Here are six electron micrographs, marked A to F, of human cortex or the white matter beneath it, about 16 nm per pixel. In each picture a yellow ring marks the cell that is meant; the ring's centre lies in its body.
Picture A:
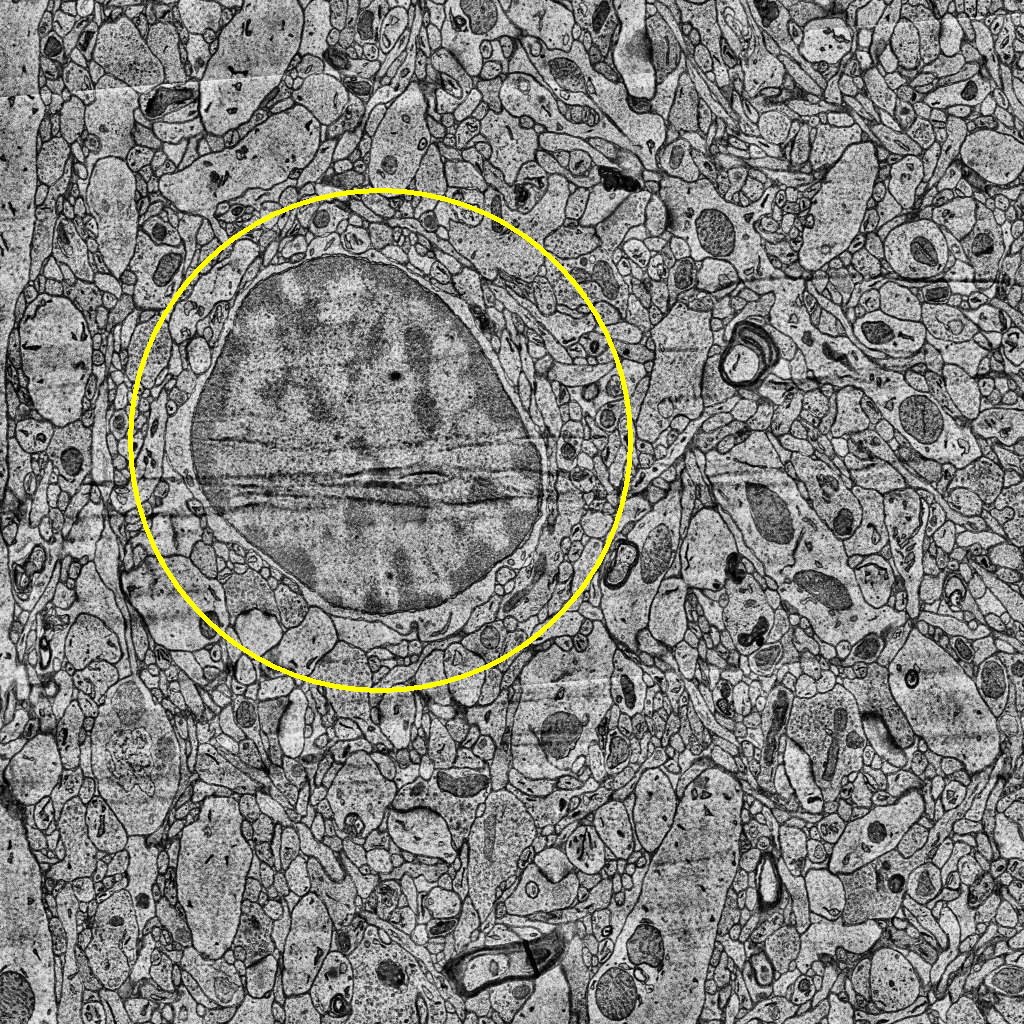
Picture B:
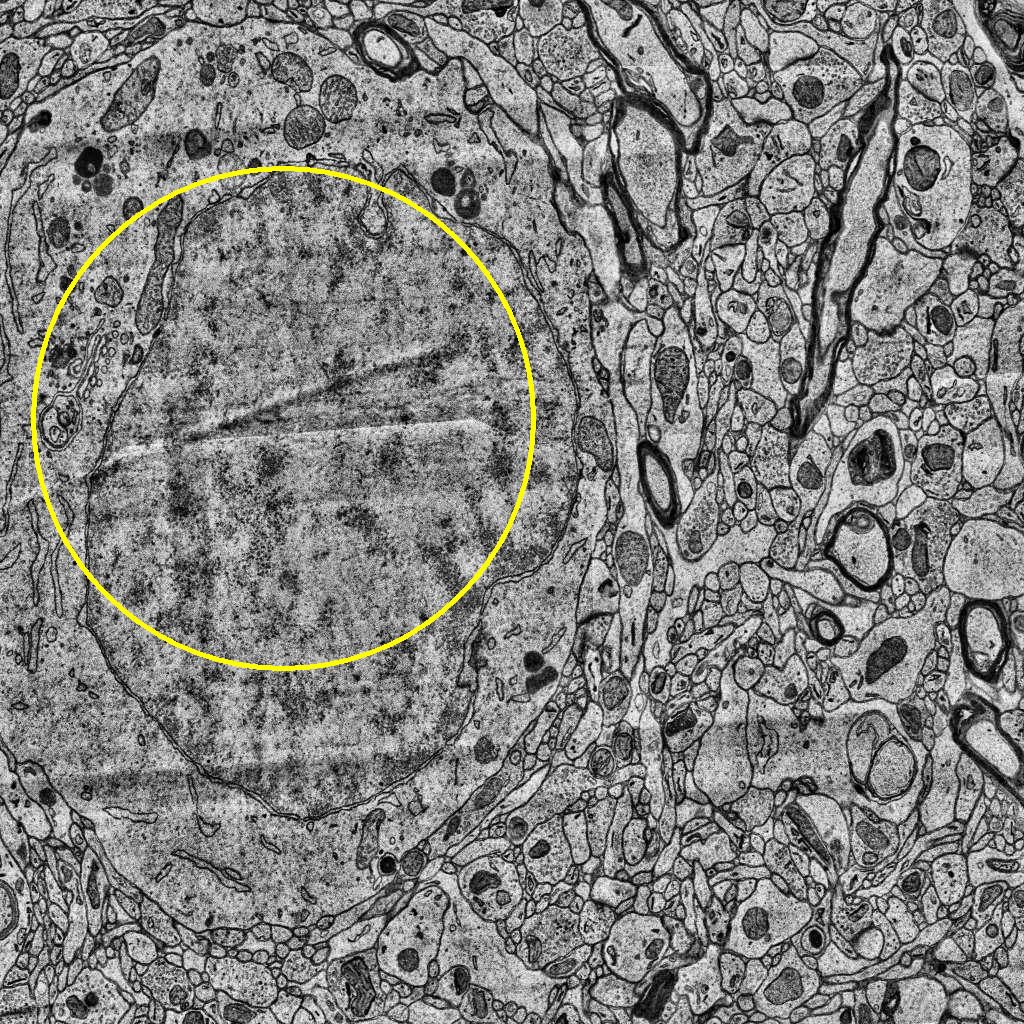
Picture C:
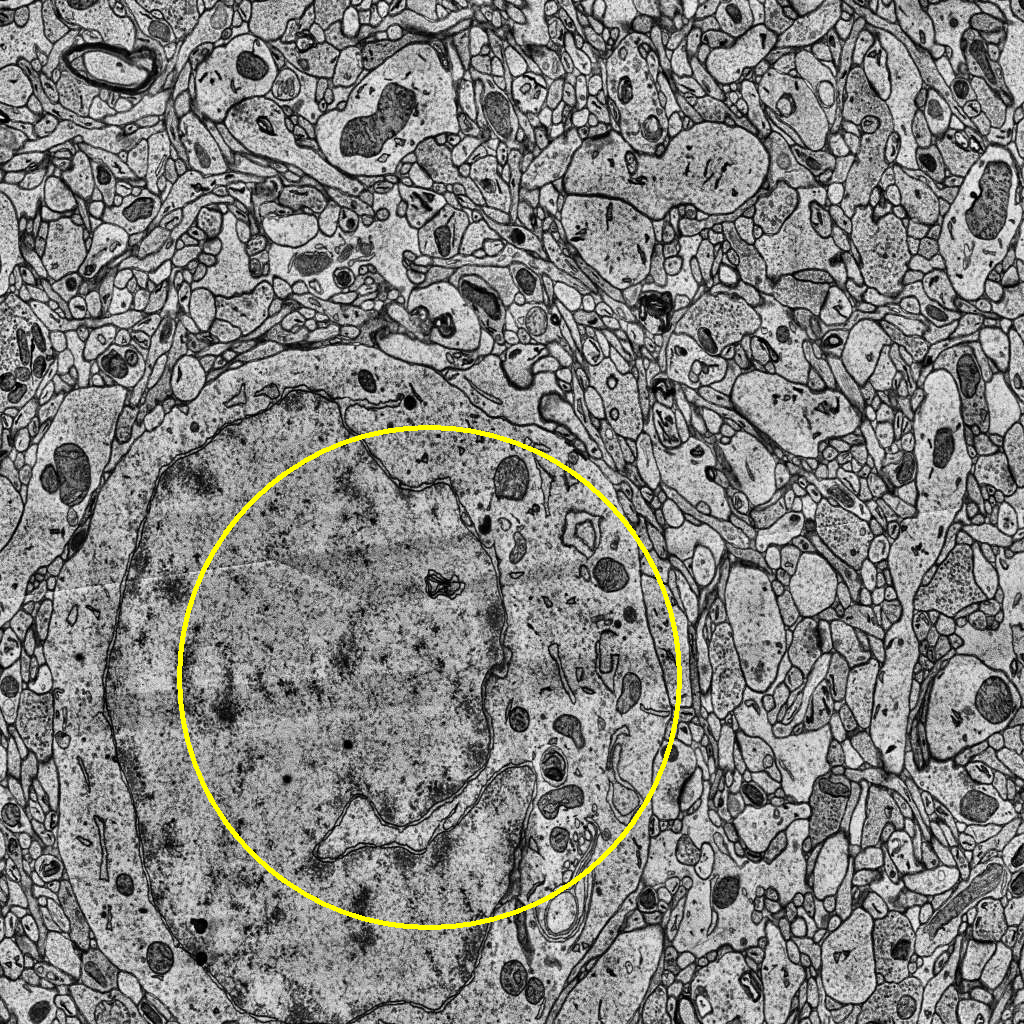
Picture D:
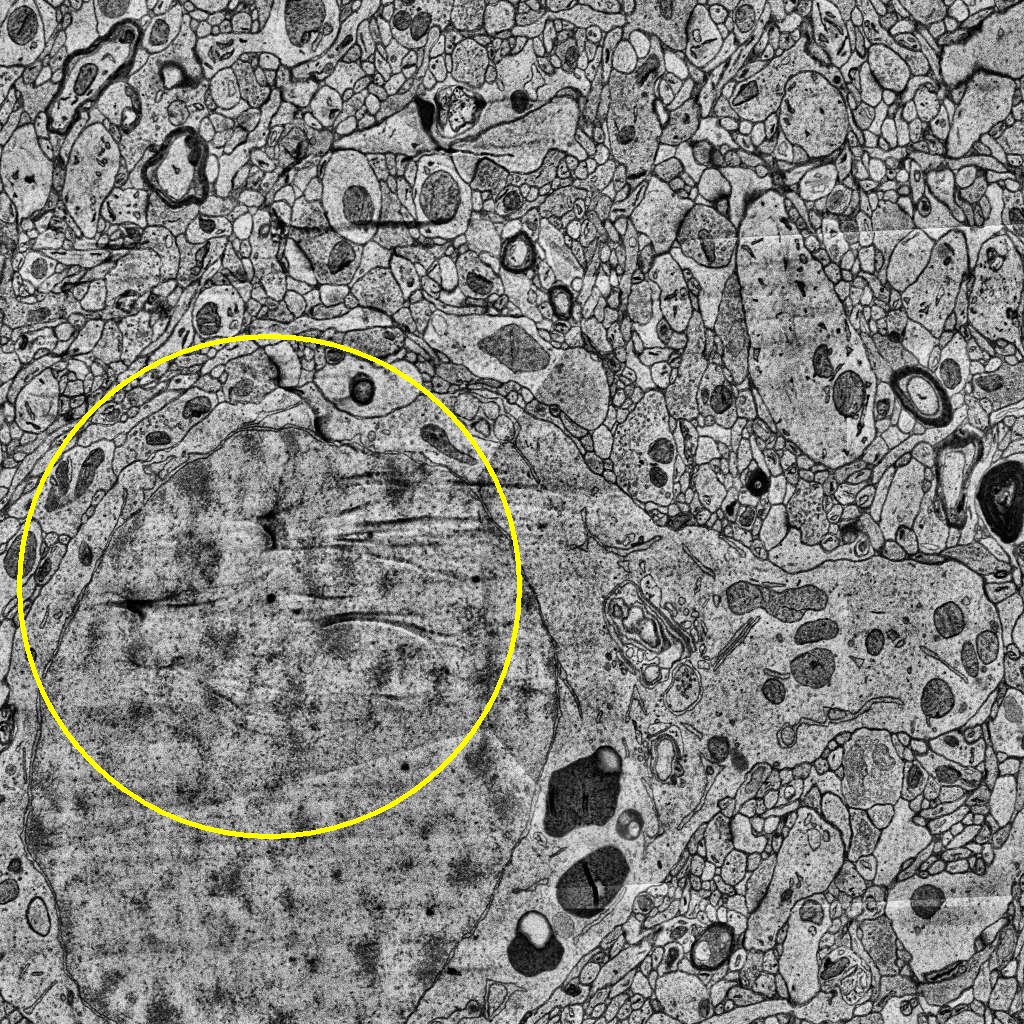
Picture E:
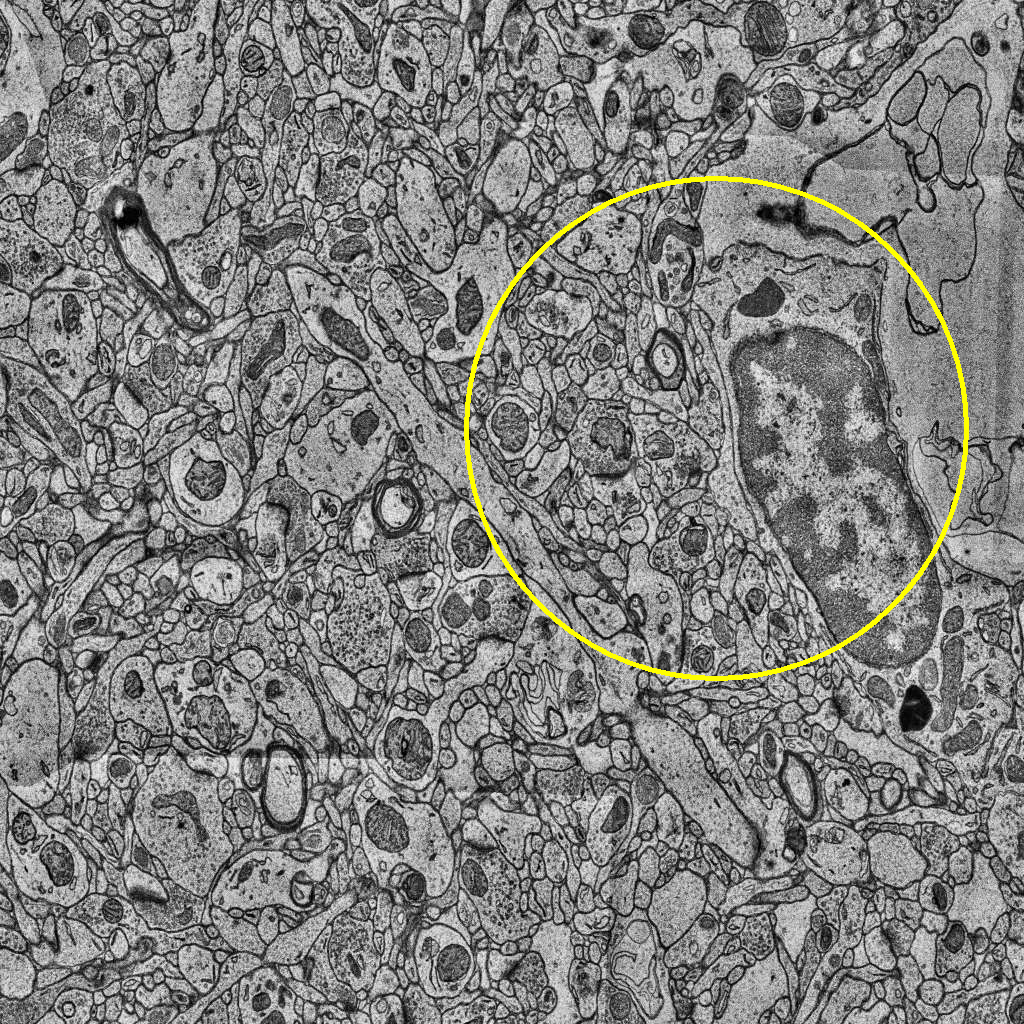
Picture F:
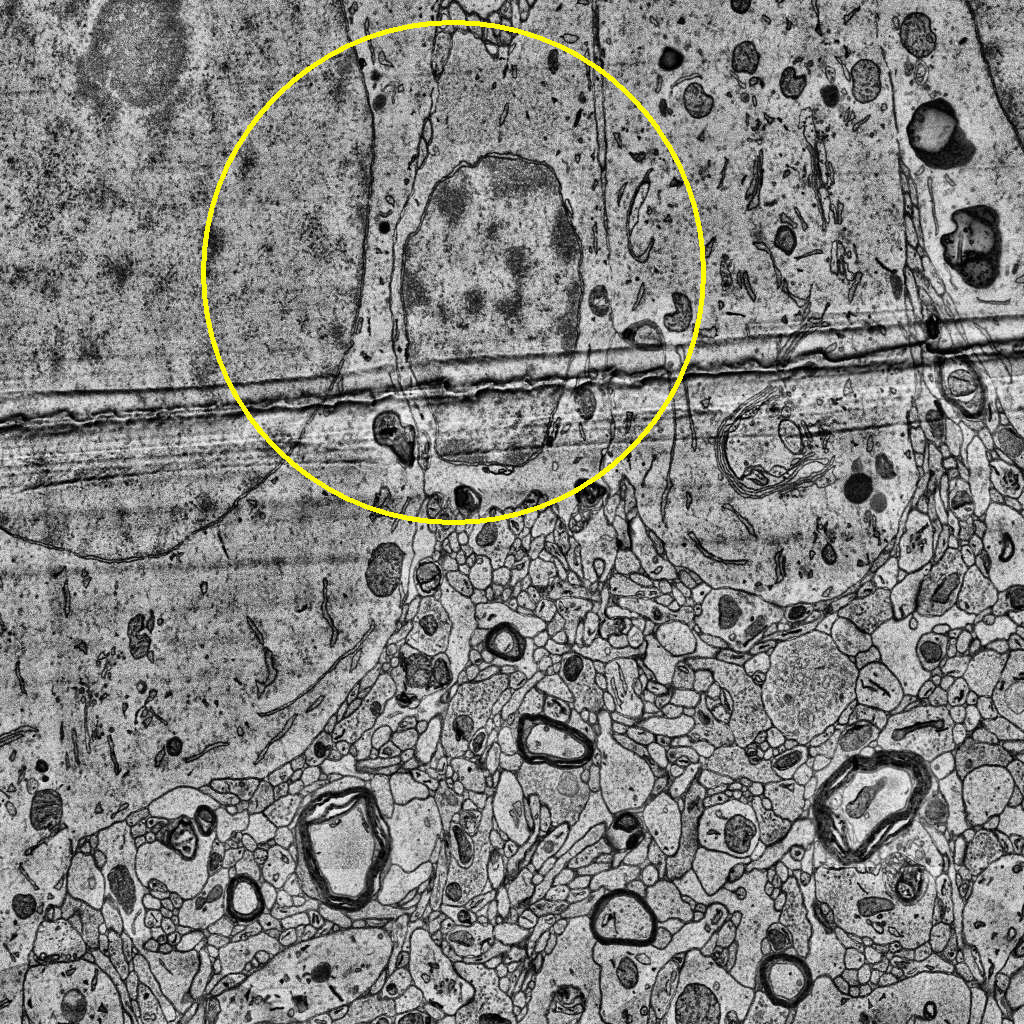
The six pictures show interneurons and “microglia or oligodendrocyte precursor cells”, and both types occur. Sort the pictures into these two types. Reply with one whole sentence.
Pictures B, C and D show interneurons; pictures A, E and F show “microglia or oligodendrocyte precursor cells”.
